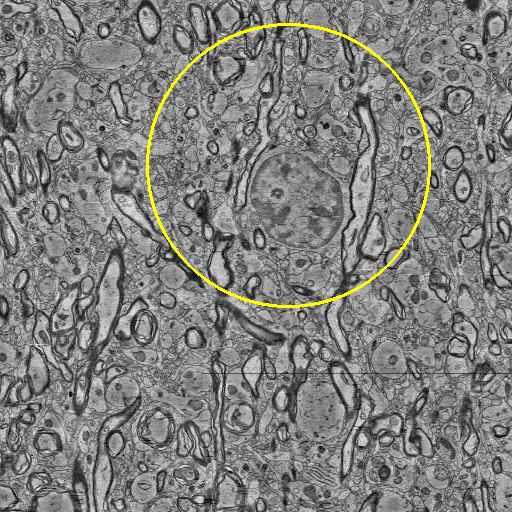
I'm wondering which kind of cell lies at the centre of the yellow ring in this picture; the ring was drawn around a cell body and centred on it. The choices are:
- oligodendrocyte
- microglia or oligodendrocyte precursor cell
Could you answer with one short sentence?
At the centre of the ring lies an oligodendrocyte.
